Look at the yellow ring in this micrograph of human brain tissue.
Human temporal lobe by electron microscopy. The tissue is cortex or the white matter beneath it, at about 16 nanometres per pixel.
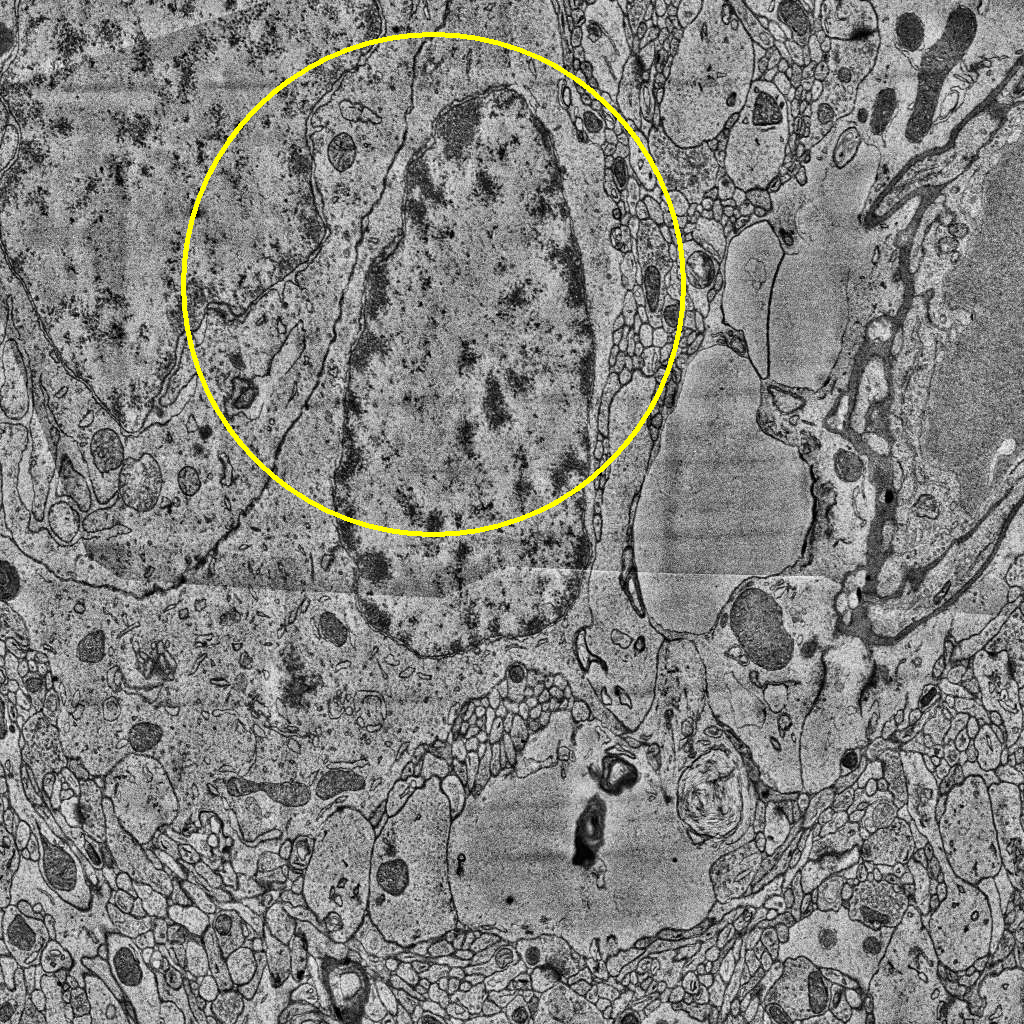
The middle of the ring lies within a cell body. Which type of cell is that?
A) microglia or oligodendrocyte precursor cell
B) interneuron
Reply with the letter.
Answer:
A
